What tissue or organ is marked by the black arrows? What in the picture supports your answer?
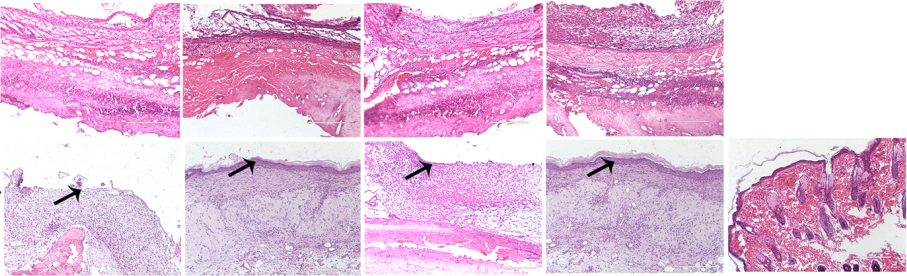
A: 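Layers of keratinocytes. The arrows point to a thin, darker purple band at the surface of the tissue. The band lies above a paler, more loosely arranged pink tissue with scattered nuclei.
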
